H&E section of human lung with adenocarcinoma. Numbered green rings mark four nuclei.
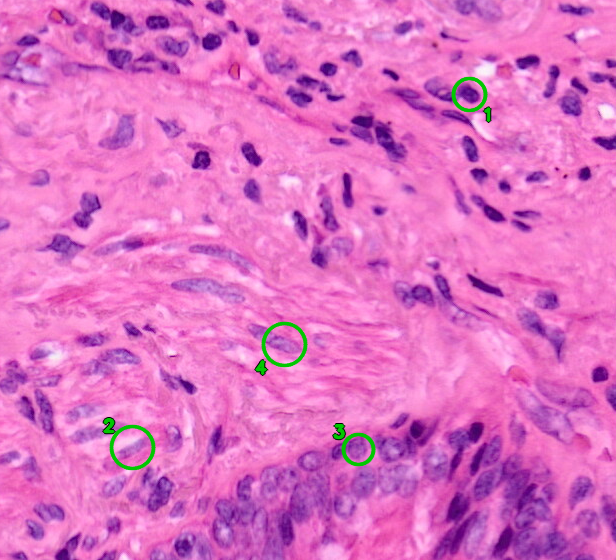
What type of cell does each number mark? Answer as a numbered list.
1. lymphocyte
2. smooth muscle cell or pericyte
3. ciliated epithelial cell
4. smooth muscle cell or pericyte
